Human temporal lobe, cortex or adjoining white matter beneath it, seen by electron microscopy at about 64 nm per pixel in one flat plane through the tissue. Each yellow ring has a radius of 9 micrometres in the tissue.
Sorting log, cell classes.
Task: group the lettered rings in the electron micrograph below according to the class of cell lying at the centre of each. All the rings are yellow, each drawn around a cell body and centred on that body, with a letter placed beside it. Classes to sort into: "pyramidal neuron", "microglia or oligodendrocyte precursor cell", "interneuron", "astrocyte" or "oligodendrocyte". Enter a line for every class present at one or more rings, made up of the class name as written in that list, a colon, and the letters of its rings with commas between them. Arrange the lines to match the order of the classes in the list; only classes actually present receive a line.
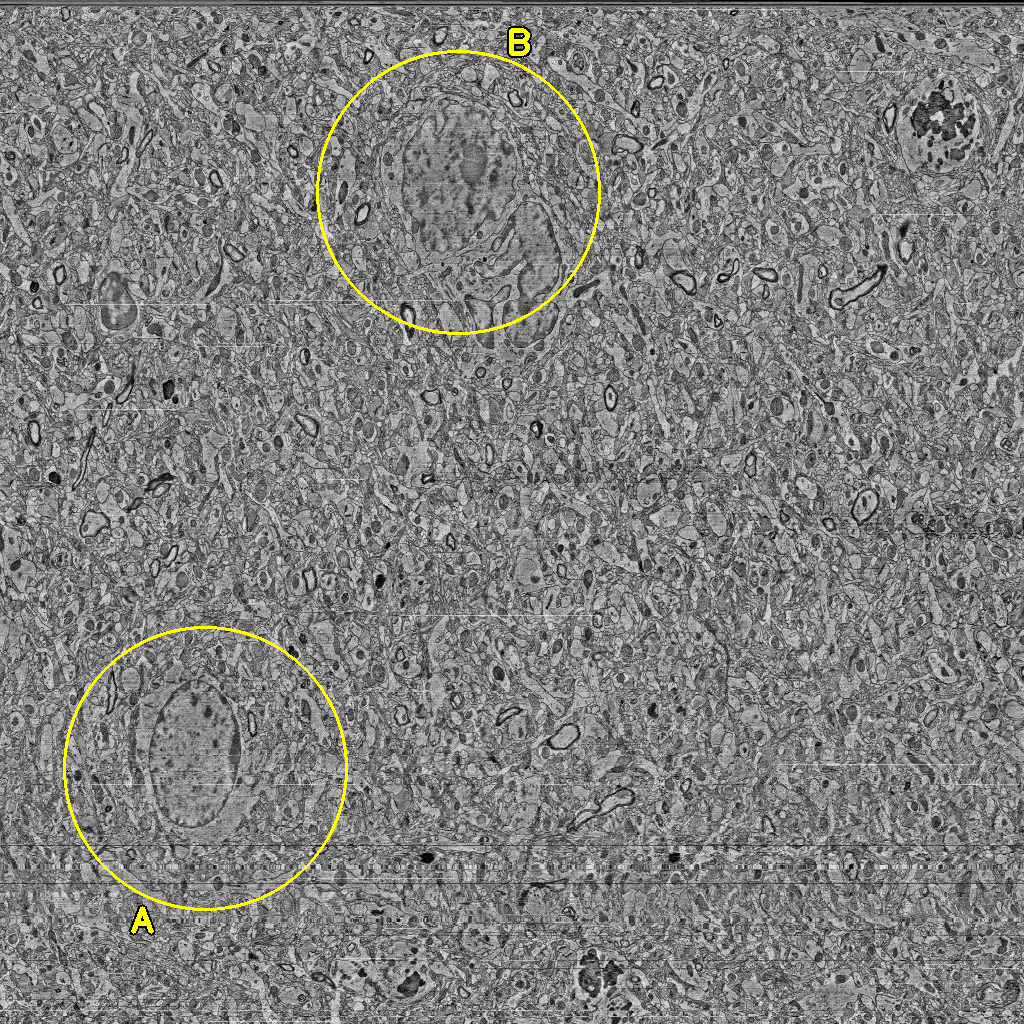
interneuron: B
astrocyte: A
